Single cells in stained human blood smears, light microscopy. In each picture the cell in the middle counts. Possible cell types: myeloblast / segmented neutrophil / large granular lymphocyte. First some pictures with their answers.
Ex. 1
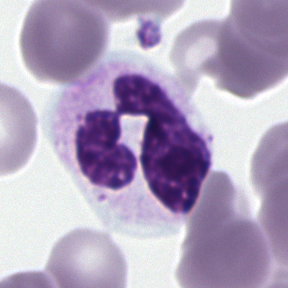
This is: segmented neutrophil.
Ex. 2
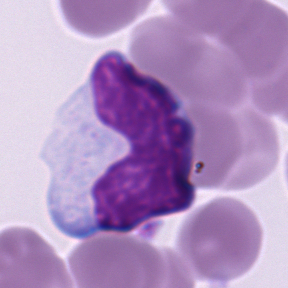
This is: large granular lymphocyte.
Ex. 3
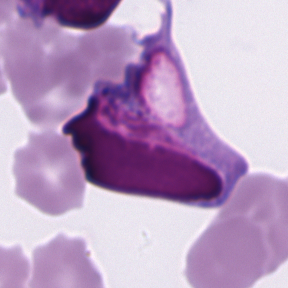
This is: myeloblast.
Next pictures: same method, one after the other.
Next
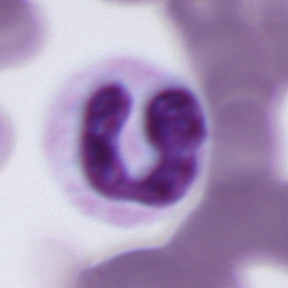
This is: segmented neutrophil.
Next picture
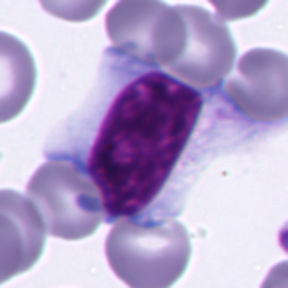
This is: large granular lymphocyte.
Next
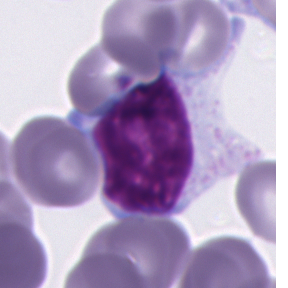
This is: large granular lymphocyte.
